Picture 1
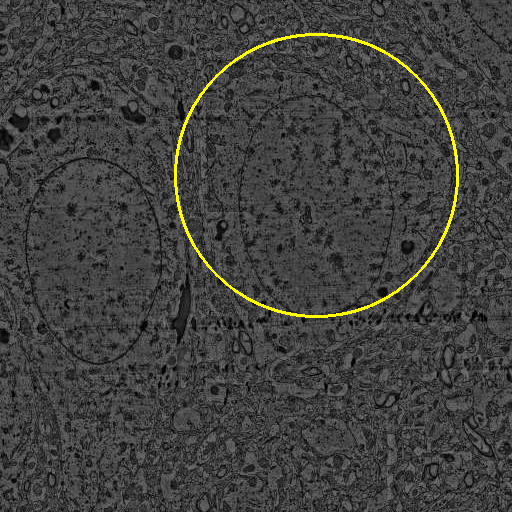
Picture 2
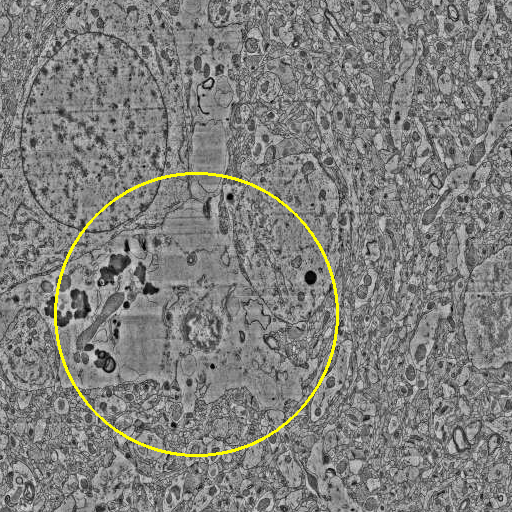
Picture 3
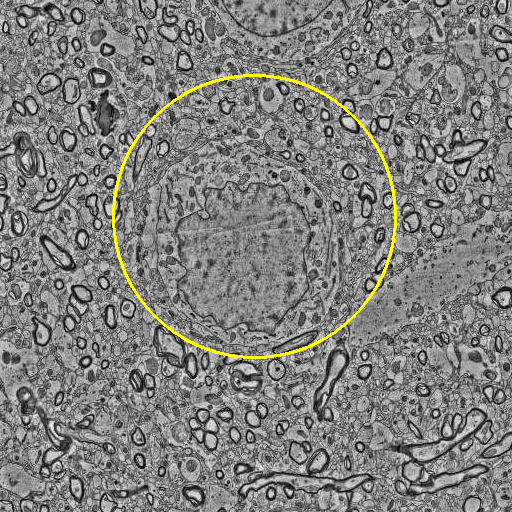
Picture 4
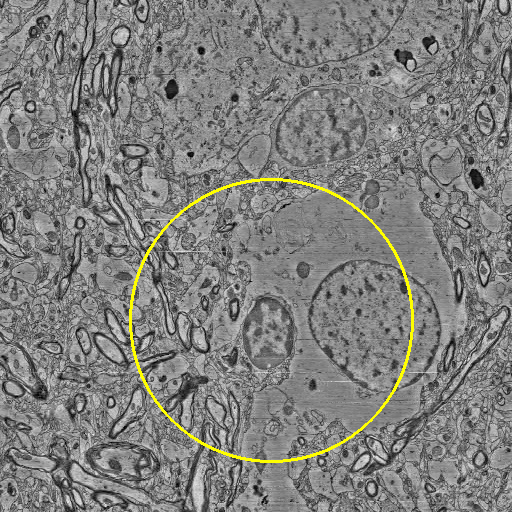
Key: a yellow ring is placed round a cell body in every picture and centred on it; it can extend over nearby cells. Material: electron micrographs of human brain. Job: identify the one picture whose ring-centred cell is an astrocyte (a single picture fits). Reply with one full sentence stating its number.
Picture 2 is the one with the sought cell at the centre of its ring.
